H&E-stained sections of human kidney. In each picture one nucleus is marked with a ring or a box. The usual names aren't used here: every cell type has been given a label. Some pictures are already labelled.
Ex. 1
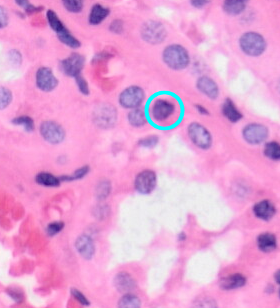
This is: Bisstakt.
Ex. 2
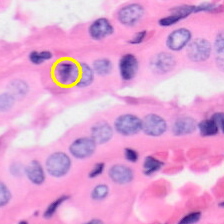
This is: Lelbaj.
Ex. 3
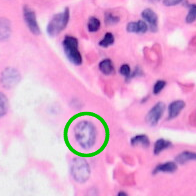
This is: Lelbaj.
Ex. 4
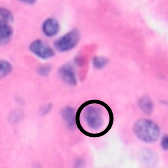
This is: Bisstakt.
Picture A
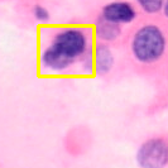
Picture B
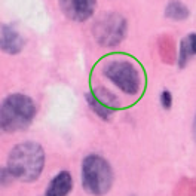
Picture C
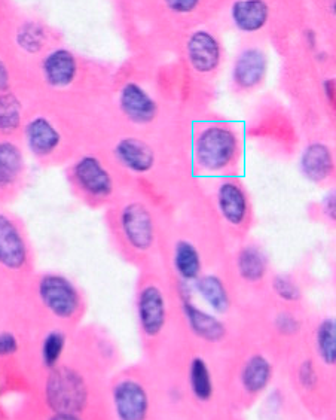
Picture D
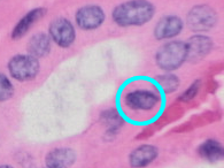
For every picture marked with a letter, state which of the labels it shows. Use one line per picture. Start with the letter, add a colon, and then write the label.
A: Lelbaj.
B: Lelbaj.
C: Bisstakt.
D: Lelbaj.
